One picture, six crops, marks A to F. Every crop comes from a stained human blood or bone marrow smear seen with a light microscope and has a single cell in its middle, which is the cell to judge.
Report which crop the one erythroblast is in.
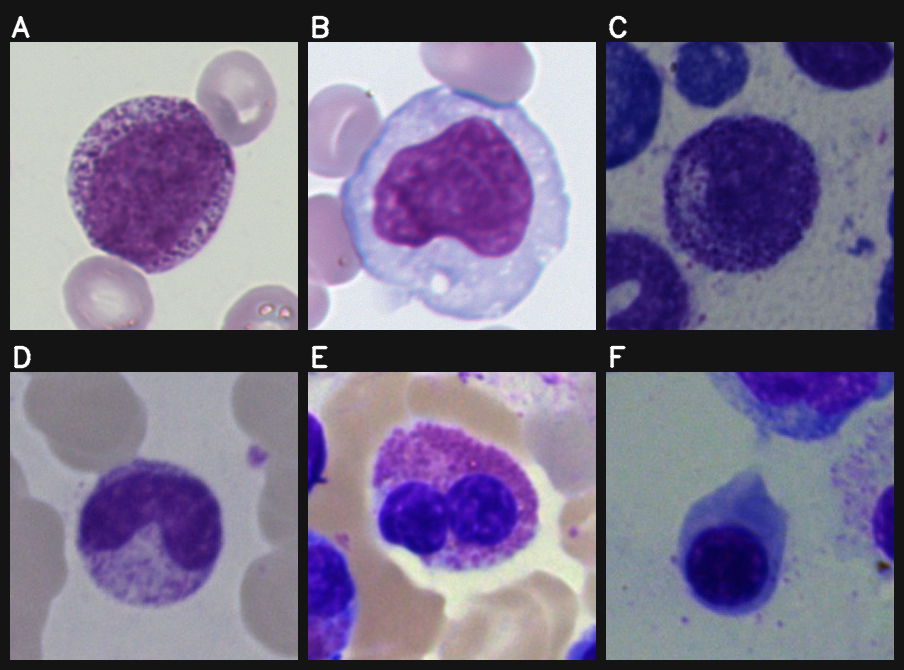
F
